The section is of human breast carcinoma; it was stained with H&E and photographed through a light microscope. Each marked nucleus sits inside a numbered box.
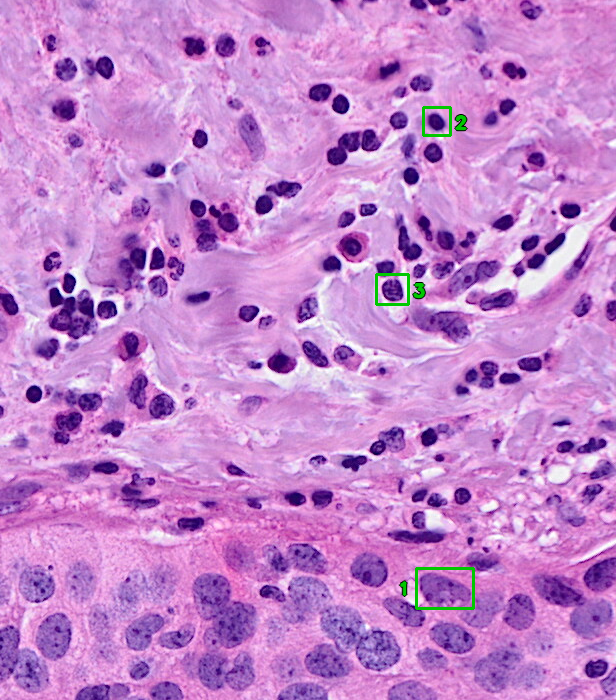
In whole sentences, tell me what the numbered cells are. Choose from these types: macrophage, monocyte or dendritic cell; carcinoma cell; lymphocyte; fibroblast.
Cell 1 is a carcinoma cell. Cells 2 and 3 are lymphocytes.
